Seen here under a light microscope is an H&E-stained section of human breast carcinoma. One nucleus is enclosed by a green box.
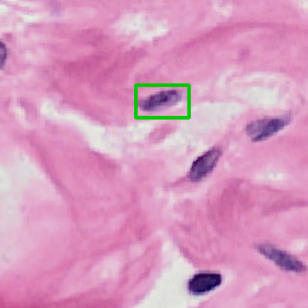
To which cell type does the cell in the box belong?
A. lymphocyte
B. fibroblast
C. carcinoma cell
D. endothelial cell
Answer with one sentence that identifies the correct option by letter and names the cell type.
In agreement with option B, the cell in the box is a fibroblast.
